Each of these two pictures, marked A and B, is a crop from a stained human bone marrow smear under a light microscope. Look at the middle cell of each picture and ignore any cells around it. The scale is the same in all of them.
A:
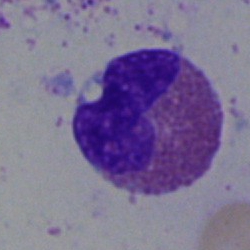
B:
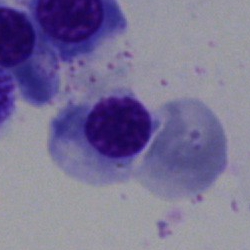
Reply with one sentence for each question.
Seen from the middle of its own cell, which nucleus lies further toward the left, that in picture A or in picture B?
It is the nucleus in picture A that lies further toward the left of its cell.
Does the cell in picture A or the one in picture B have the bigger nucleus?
Larger is the nucleus in picture A, at roughly 2.5 times the area of the other.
